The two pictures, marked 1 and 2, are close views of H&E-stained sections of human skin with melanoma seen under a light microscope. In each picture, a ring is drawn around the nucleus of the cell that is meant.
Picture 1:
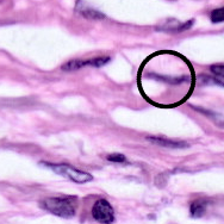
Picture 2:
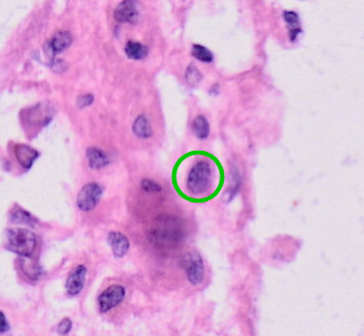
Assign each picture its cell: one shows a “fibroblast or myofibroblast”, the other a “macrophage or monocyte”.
1: fibroblast or myofibroblast
2: macrophage or monocyte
